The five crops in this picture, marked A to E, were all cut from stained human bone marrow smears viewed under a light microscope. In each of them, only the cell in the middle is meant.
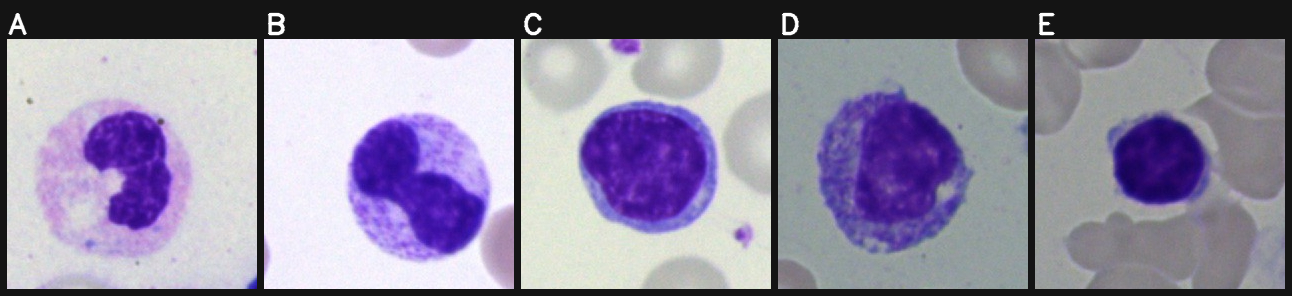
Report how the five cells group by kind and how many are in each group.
band neutrophil: 2
lymphocyte: 2
myelocyte: 1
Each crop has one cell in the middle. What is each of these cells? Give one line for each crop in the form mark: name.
A: band neutrophil
B: band neutrophil
C: lymphocyte
D: myelocyte
E: lymphocyte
